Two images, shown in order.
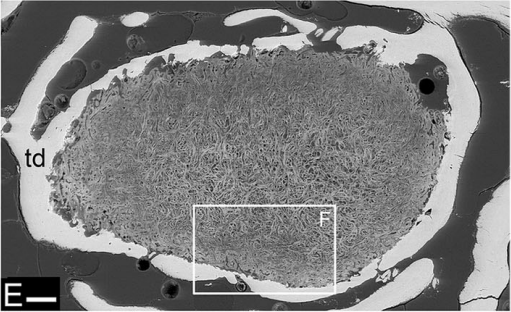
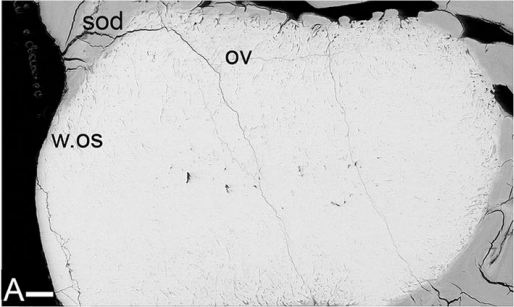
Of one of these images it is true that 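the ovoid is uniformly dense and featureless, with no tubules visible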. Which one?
the second image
